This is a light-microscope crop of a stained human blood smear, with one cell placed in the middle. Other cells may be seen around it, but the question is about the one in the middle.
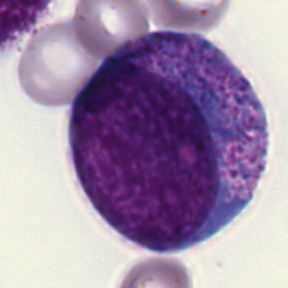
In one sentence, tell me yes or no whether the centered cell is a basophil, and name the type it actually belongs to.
No, the middle cell is classified as a promyelocyte instead of a basophil.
